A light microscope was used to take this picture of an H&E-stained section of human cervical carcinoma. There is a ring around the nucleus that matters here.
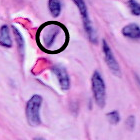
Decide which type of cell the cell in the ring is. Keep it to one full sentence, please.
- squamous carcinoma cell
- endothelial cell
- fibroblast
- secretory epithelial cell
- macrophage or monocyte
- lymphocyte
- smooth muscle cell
Cytologically, the cell in the ring is to be regarded as an endothelial cell.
